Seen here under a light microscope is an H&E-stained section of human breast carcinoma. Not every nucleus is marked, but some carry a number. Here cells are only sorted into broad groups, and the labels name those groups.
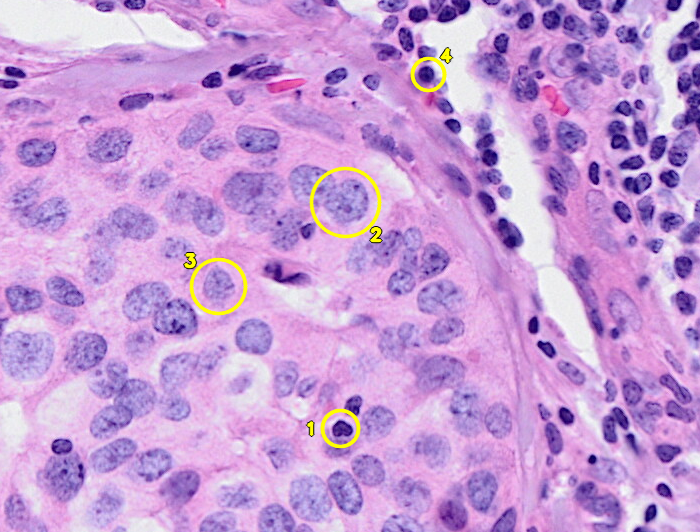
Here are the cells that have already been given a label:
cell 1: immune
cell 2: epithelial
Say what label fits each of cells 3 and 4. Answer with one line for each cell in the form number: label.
3: epithelial
4: immune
